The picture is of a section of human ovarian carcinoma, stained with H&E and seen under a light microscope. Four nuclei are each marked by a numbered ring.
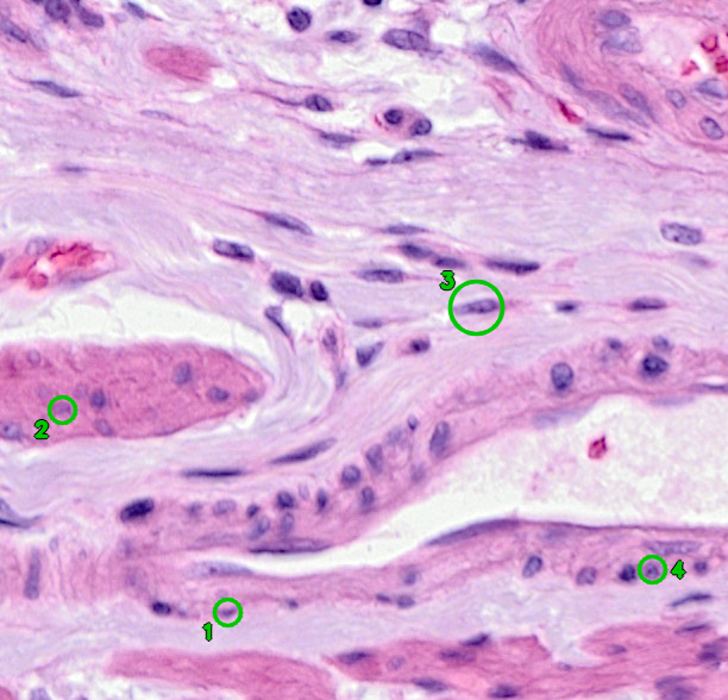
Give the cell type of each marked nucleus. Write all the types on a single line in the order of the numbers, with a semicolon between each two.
smooth muscle cell; smooth muscle cell; fibroblast; smooth muscle cell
